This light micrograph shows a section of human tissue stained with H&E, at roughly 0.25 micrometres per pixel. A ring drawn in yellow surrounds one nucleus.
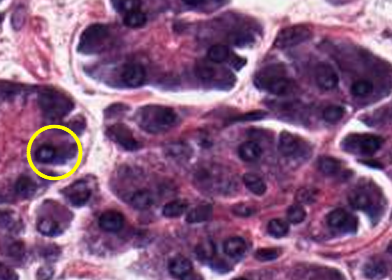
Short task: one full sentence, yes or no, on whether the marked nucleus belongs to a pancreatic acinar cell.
Yes, the nucleus singled out in the image belongs to a pancreatic acinar cell.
